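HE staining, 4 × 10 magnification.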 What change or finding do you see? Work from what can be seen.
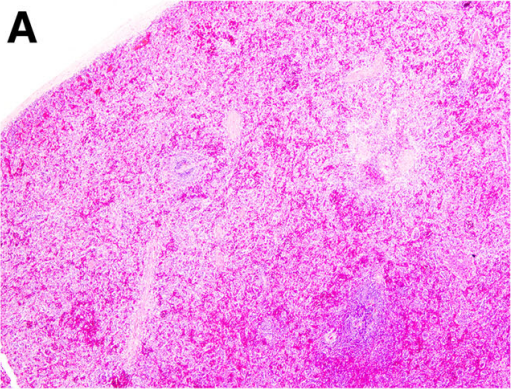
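Enlarged pulp sinuses. The red pulp occupies nearly the whole field and is congested with red-pink blood. Only small, scattered purple foci of white pulp are visible.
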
